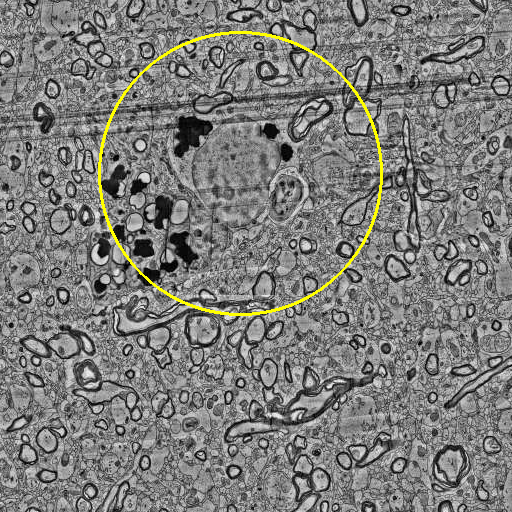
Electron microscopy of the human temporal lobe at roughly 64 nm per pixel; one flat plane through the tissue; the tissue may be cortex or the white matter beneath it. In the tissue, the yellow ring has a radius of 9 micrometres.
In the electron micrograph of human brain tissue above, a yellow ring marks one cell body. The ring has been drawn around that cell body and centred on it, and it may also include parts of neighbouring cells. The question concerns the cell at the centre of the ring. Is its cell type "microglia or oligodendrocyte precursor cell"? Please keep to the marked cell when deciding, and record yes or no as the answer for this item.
no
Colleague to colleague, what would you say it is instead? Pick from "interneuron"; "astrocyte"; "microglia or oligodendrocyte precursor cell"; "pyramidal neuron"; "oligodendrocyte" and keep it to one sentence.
So the cell at the centre is an oligodendrocyte.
